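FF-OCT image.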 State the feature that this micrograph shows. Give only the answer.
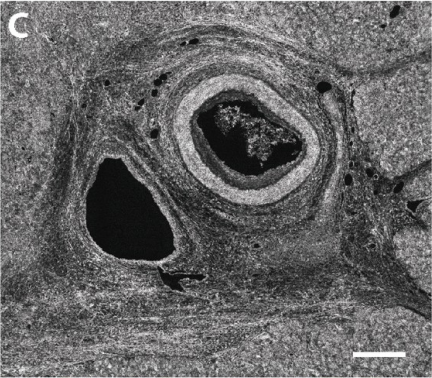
Vessels.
